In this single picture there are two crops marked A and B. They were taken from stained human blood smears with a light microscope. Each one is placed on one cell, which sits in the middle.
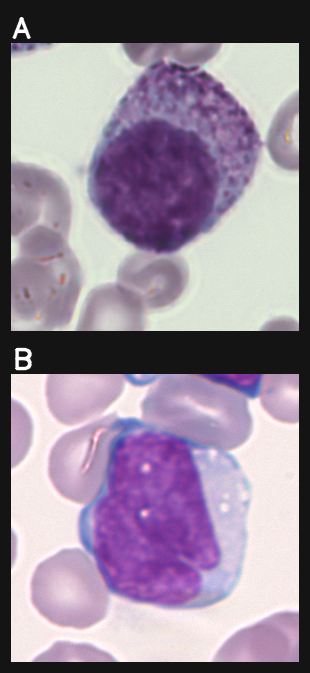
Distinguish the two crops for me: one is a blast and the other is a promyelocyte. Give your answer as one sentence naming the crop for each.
The correct labels are a promyelocyte for crop A and a blast for crop B.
